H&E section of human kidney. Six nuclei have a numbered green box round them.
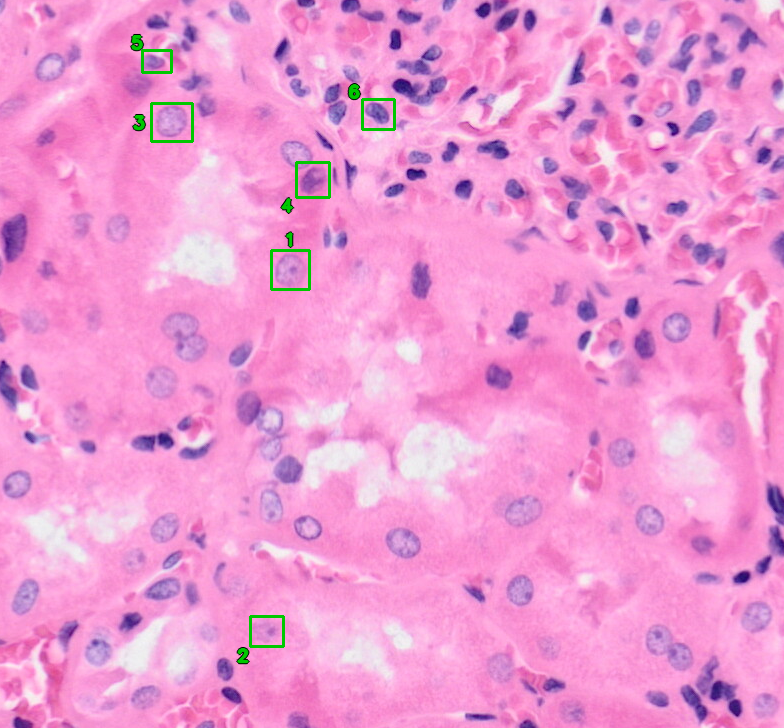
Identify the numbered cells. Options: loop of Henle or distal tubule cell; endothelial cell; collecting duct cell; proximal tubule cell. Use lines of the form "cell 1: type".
cell 1: proximal tubule cell
cell 2: proximal tubule cell
cell 3: proximal tubule cell
cell 4: proximal tubule cell
cell 5: endothelial cell
cell 6: endothelial cell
